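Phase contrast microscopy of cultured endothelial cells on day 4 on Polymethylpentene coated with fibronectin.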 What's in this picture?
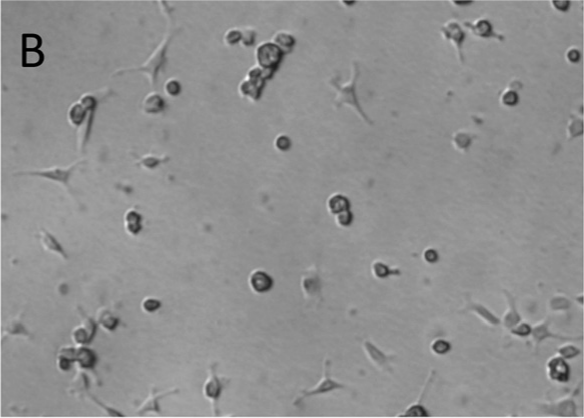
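Many cells are small, rounded and bright-haloed, some alone and some in small clumps of two to four, while others are spread into spindle or star shapes with thin processes. Wide stretches of bare substrate separate the cells.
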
